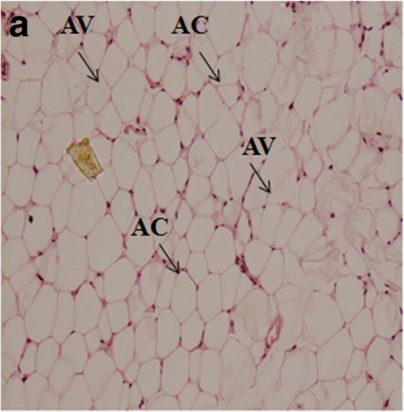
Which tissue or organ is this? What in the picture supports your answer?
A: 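Closely packed polygonal cells with empty, unstained interiors. Thin pink cell borders forming a honeycomb network. Small dark nuclei pressed flat at the cell edges. On this evidence: Adipose tissue.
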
